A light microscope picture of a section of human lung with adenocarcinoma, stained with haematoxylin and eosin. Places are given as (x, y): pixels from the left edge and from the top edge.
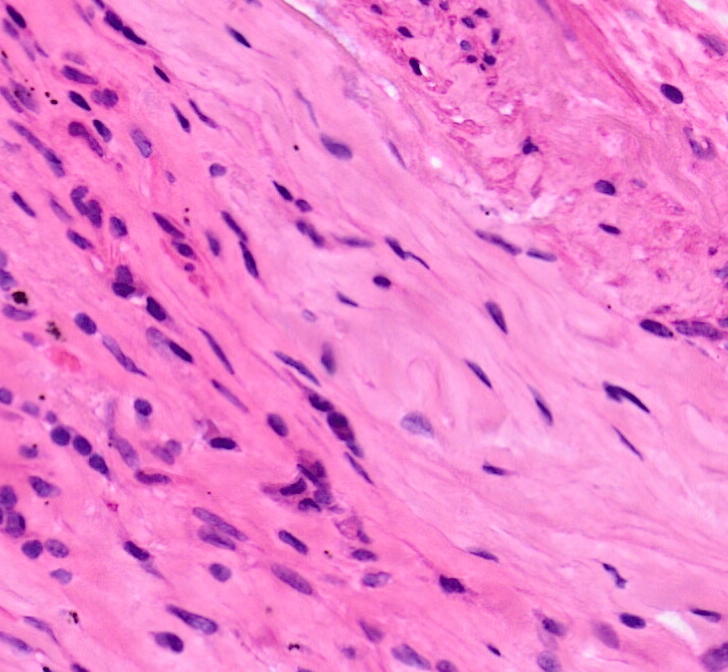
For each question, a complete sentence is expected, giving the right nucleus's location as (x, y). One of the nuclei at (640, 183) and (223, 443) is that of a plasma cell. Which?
The nucleus of a plasma cell lies at (223, 443), not at the other position.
